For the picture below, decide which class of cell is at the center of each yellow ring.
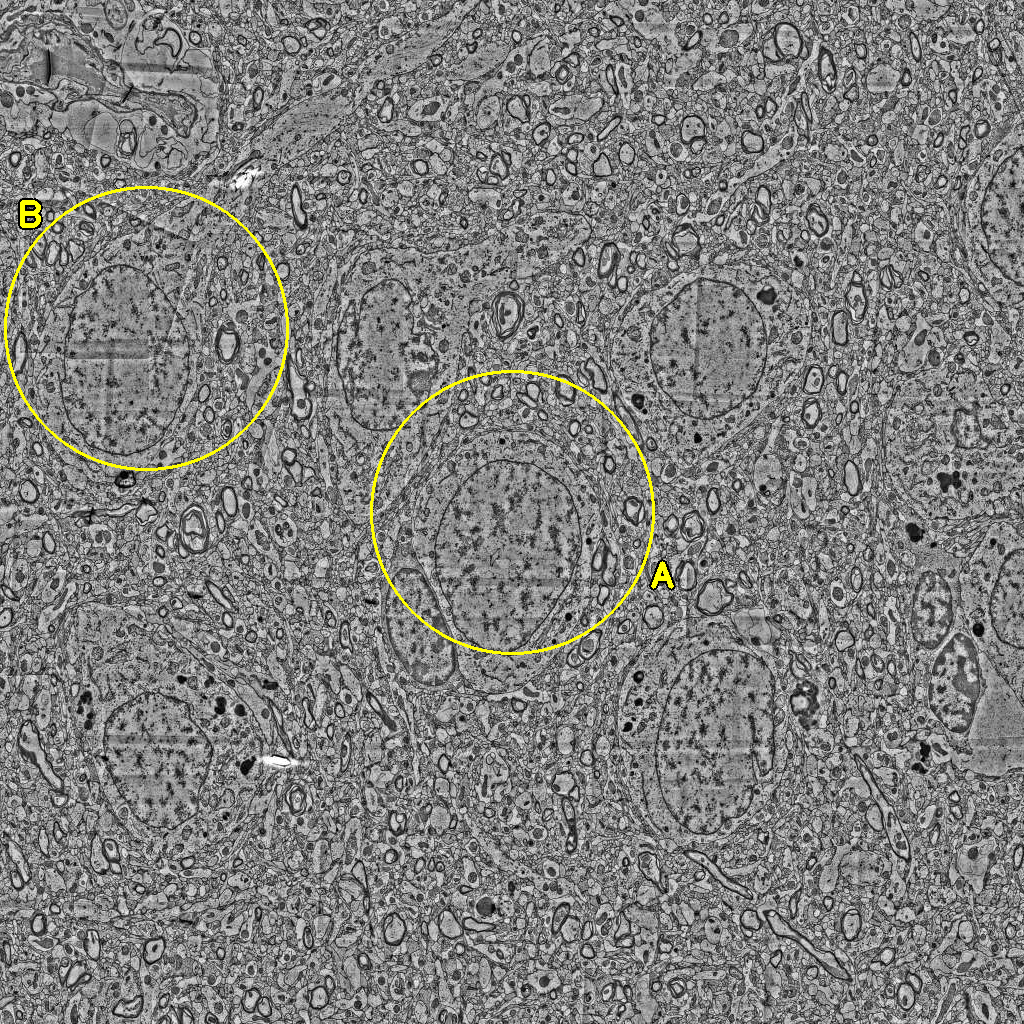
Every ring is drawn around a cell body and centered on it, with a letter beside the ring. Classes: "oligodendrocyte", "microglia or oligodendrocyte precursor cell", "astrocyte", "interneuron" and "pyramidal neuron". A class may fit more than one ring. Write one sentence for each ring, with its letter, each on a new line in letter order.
Centered in ring A is a pyramidal neuron.
Centered in ring B is a pyramidal neuron.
